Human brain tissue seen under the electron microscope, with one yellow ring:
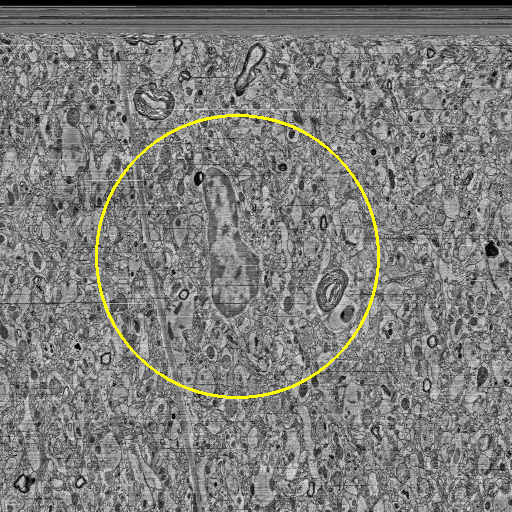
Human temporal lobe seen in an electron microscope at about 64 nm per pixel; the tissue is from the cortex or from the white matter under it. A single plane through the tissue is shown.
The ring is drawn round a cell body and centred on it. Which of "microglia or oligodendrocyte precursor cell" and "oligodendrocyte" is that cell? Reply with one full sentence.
The picture shows a microglial cell or oligodendrocyte precursor cell at the very centre of the yellow ring.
